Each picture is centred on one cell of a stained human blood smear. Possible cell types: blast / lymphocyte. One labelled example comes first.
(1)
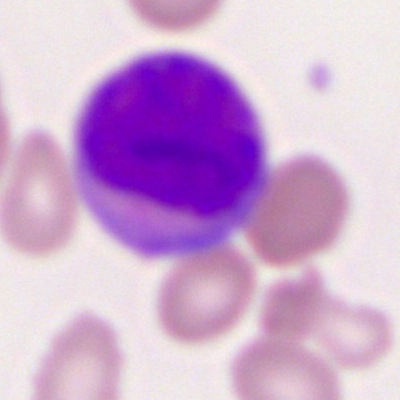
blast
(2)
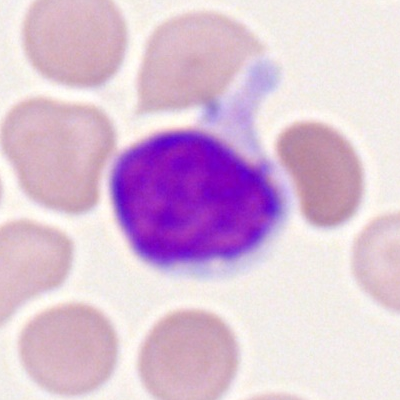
lymphocyte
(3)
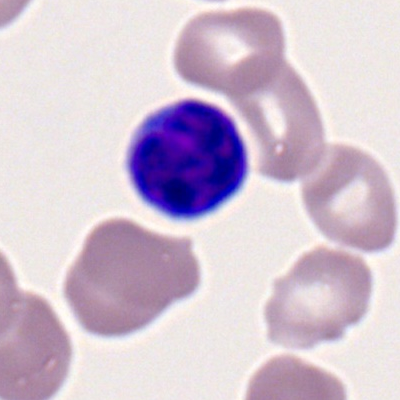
lymphocyte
